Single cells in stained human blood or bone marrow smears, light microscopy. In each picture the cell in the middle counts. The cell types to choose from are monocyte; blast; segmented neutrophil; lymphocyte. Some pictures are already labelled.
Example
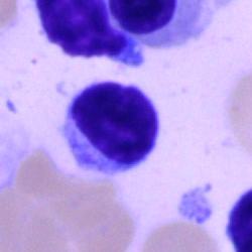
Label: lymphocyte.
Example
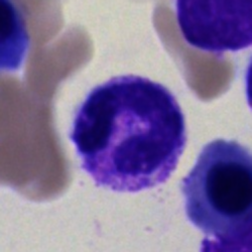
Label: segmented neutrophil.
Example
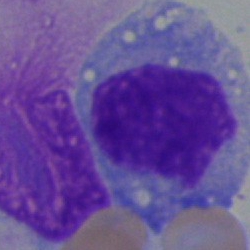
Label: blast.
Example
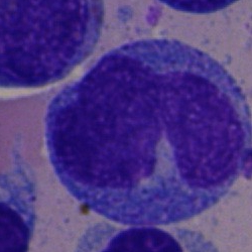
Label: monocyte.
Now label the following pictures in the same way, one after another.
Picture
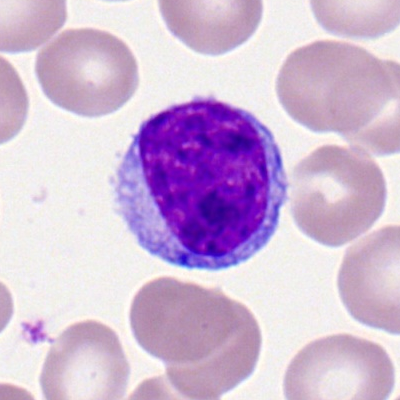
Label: lymphocyte.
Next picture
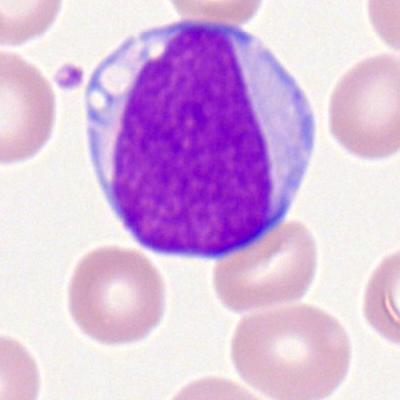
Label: blast.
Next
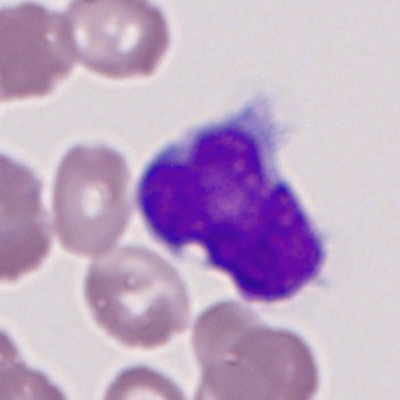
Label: lymphocyte.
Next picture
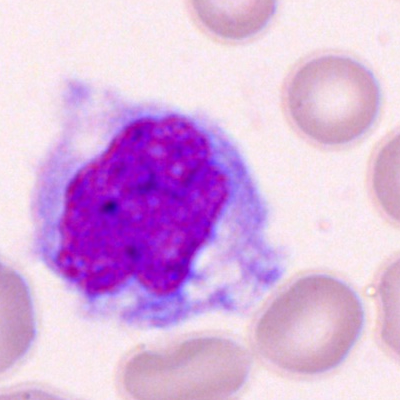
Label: monocyte.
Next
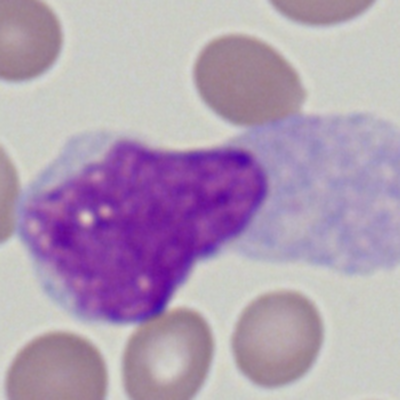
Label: monocyte.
